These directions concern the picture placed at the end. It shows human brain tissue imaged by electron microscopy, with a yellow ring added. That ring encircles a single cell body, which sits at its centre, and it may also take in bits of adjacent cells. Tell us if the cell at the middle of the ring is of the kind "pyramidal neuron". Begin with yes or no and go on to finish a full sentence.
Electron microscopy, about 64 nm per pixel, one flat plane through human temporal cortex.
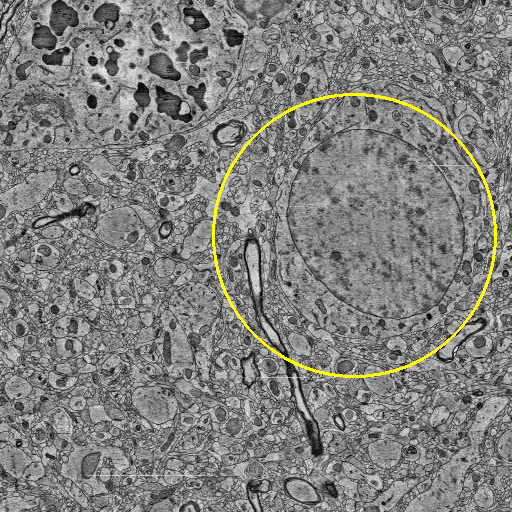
Yes, the cell sitting at the centre of the yellow ring in the picture is of that kind.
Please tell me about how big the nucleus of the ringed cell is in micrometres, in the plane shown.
The nucleus comes to roughly 13 by 11 micrometres in this plane.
